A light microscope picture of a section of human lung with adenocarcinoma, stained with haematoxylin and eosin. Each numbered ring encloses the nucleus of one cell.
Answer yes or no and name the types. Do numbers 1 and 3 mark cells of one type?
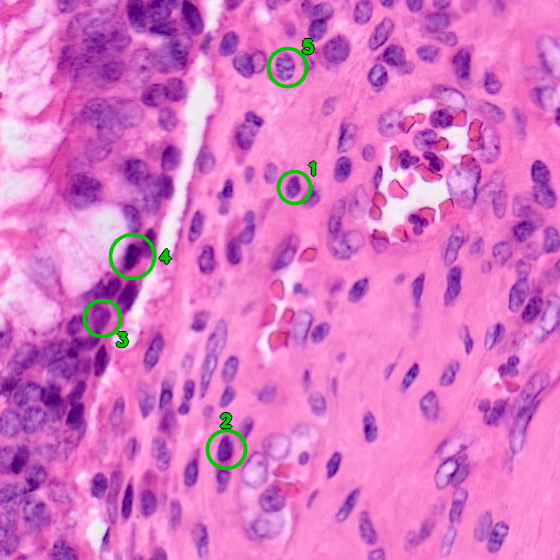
No, cell 1 is a lymphocyte and cell 3 is a ciliated epithelial cell.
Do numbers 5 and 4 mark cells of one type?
No, cell 5 is a mast cell and cell 4 is a ciliated epithelial cell.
